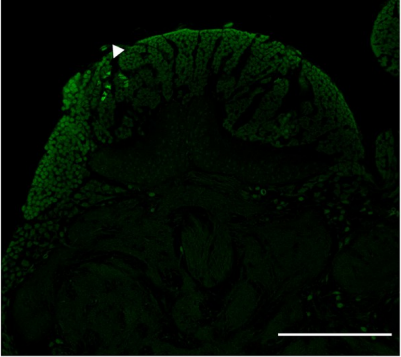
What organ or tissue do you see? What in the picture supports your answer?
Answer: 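A dome-shaped cap of densely packed small round nuclei. The cap surrounds a cup-shaped, nucleus-free neuropil region below it. On this evidence: Mushroom body.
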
